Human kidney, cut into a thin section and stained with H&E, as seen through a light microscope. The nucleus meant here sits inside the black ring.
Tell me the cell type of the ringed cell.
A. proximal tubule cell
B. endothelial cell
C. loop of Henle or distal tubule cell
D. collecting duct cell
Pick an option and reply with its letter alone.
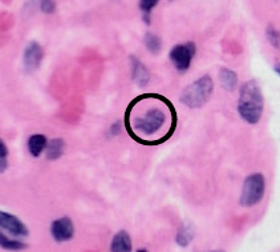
B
